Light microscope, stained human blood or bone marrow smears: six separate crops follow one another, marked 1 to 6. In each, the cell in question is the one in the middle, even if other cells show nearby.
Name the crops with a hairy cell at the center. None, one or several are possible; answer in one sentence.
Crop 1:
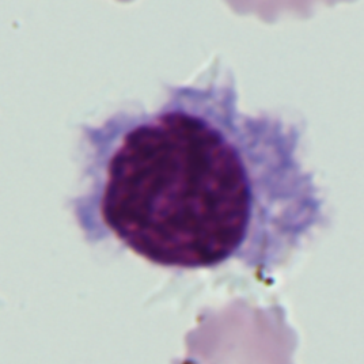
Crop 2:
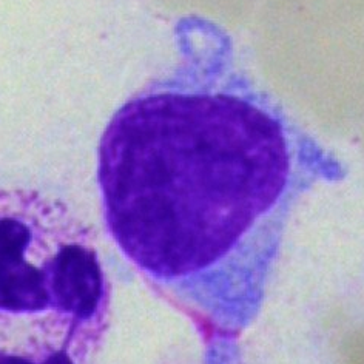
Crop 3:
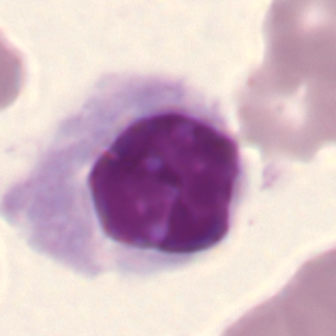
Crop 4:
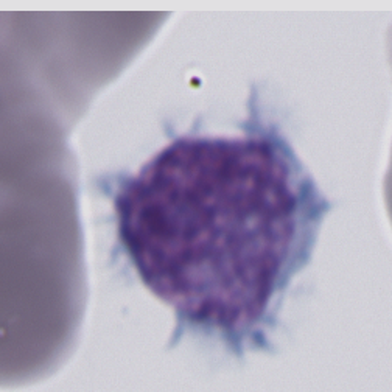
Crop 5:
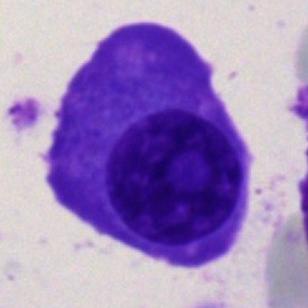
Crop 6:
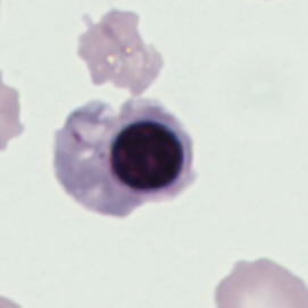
In this set, crops 1, 2 and 4 show hairy cells.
